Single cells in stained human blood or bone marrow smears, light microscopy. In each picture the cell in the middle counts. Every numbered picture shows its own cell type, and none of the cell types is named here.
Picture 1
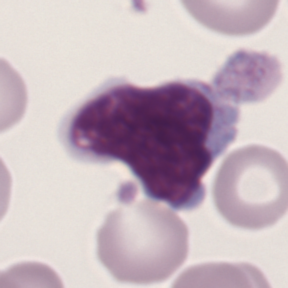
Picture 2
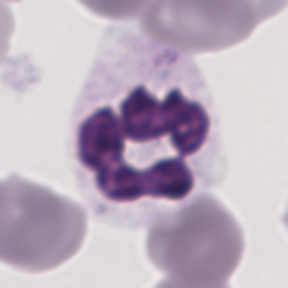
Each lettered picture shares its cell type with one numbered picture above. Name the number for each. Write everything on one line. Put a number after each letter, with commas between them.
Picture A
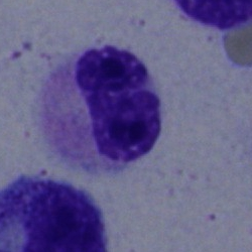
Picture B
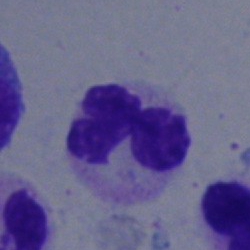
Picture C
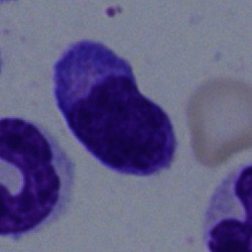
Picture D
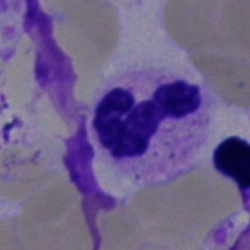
A 2, B 2, C 1, D 2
